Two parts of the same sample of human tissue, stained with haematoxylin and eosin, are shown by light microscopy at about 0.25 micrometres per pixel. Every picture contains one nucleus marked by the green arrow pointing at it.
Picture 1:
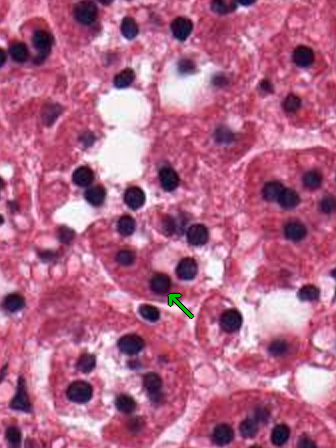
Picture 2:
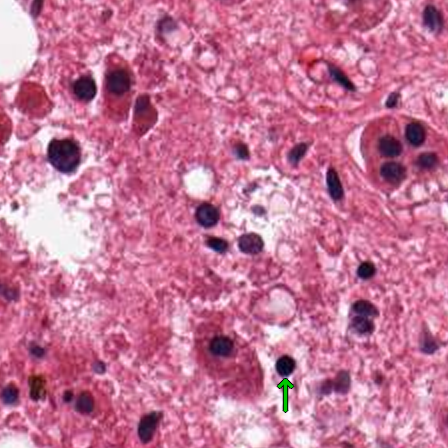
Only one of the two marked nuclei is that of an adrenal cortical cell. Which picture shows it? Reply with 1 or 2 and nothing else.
1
